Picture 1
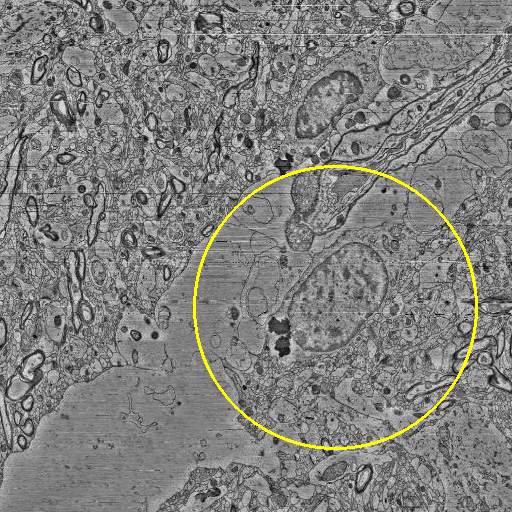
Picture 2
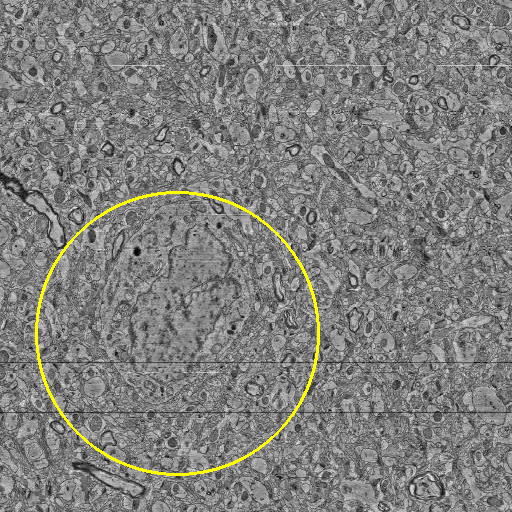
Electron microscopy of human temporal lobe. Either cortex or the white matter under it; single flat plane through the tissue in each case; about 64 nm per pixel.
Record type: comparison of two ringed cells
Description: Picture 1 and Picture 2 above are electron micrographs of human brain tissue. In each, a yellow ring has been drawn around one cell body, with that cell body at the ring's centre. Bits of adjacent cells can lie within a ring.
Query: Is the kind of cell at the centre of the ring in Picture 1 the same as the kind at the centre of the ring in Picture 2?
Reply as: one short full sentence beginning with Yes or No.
No, the two ringed cells are of two separate kinds.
